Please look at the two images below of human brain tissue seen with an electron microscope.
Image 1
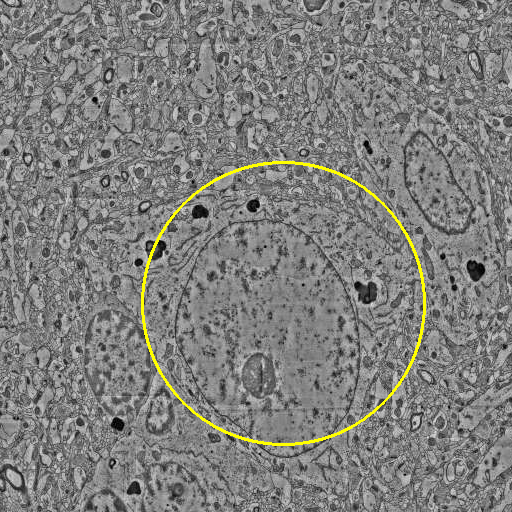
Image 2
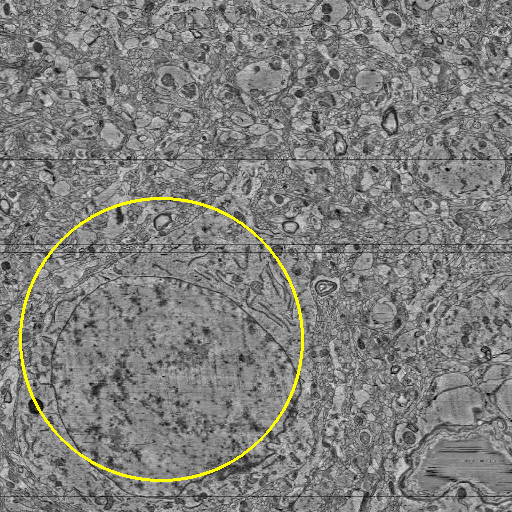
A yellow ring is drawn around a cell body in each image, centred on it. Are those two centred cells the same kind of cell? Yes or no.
yes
